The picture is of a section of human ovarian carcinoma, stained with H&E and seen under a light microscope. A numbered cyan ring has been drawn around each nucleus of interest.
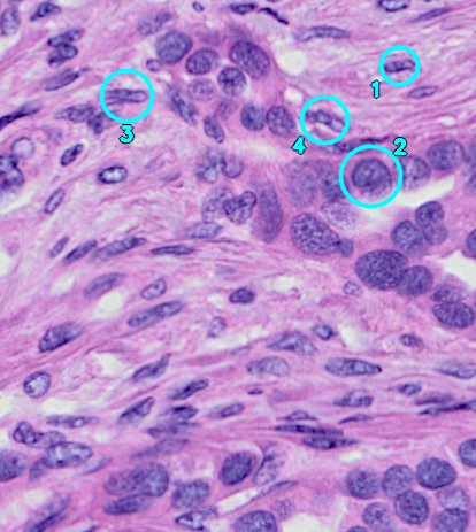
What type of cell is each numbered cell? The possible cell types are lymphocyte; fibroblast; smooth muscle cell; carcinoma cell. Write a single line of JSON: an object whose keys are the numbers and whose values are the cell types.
{"1": "fibroblast", "2": "carcinoma cell", "3": "fibroblast", "4": "fibroblast"}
